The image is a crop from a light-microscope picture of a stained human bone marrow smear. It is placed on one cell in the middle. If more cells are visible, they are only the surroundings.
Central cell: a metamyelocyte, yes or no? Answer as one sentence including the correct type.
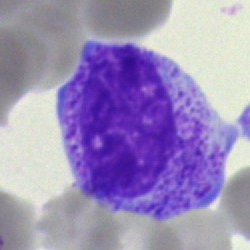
No, the cell in the middle is a myelocyte, not a metamyelocyte.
